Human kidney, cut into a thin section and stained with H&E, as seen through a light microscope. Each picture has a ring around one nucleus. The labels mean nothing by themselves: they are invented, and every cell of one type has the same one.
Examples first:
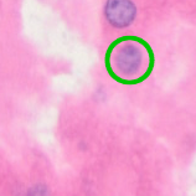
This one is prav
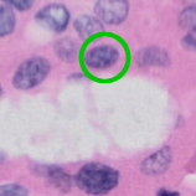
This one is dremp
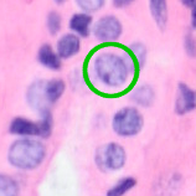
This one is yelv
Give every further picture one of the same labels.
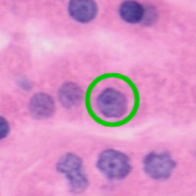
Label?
prav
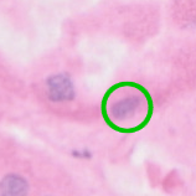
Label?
prav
